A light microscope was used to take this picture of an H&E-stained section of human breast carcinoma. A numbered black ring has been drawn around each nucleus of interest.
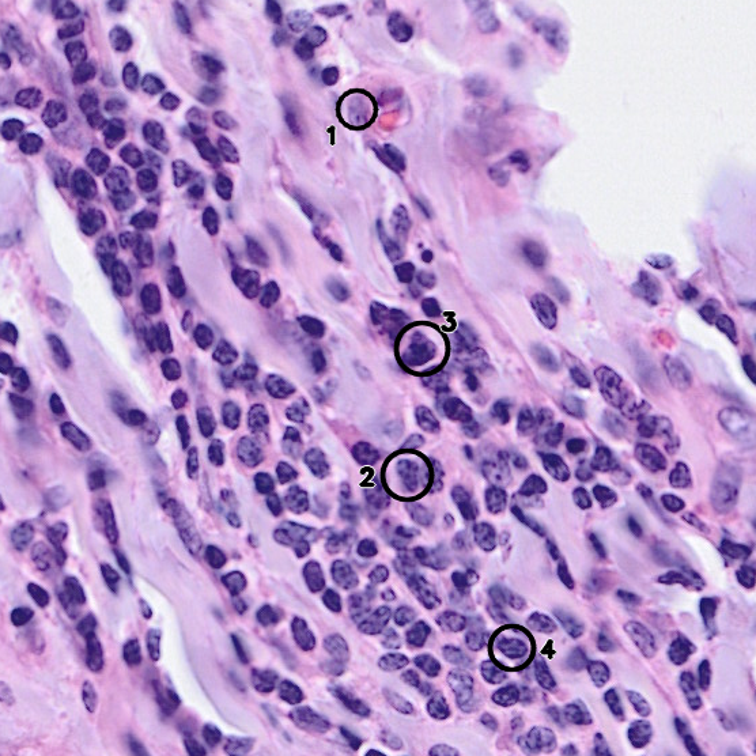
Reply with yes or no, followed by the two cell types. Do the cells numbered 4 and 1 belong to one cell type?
No, cell 4 is categorized as a lymphocyte, while cell 1 is categorized as an endothelial cell.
